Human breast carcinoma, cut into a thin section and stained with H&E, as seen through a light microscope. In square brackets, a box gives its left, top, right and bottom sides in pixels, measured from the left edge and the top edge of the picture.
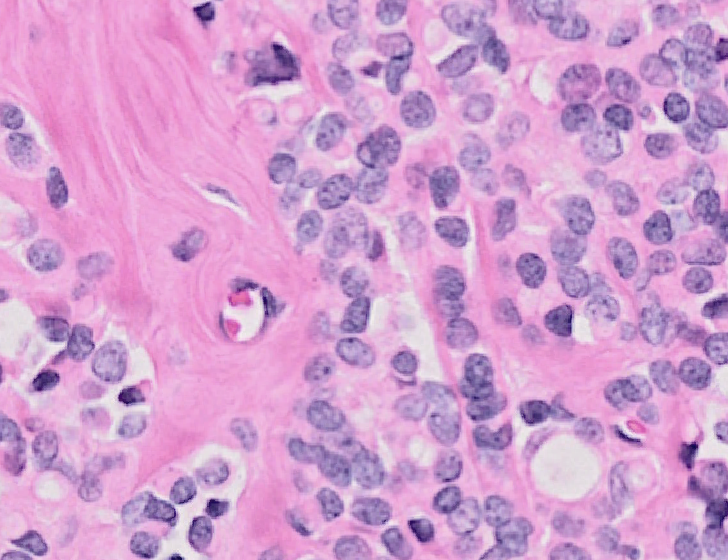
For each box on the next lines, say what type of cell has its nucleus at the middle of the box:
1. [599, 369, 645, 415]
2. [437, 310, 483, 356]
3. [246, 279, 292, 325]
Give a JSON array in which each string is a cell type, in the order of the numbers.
["carcinoma cell", "carcinoma cell", "endothelial cell"]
